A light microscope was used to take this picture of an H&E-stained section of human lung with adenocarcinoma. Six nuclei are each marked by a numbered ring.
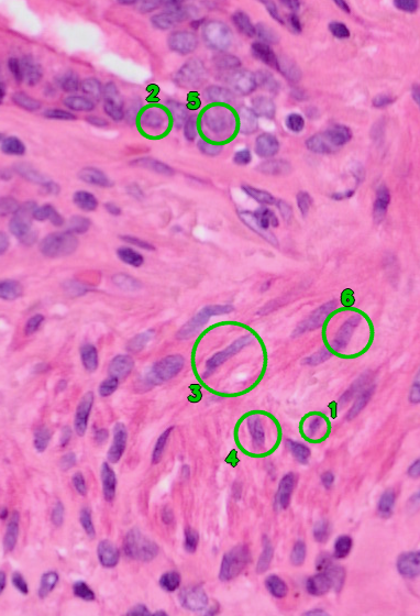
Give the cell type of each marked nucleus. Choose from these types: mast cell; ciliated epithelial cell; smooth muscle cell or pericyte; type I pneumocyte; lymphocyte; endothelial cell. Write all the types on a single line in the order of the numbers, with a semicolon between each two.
smooth muscle cell or pericyte; ciliated epithelial cell; smooth muscle cell or pericyte; smooth muscle cell or pericyte; ciliated epithelial cell; smooth muscle cell or pericyte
